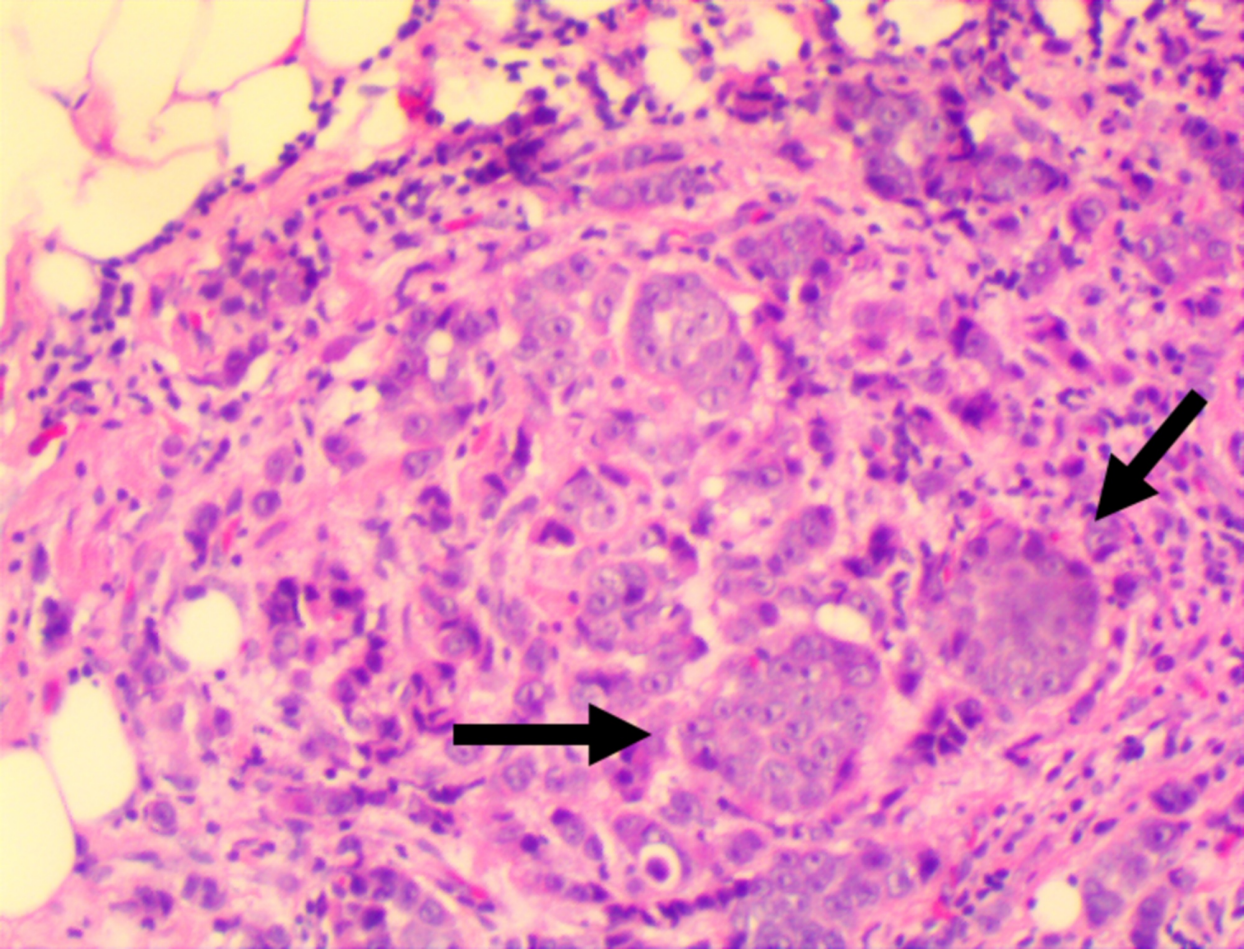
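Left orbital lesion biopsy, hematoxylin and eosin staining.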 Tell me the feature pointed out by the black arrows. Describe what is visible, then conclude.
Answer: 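Rounded clusters of tightly packed large cells sit where the arrows point. The clusters are set off from the surrounding pink fibrous stroma. Cells in the clusters have round nuclei with visible nucleoli.
Answer: nests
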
